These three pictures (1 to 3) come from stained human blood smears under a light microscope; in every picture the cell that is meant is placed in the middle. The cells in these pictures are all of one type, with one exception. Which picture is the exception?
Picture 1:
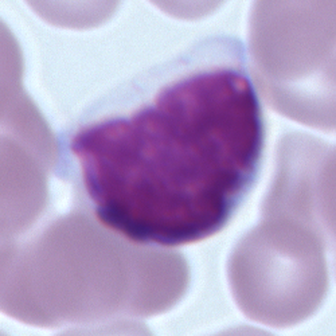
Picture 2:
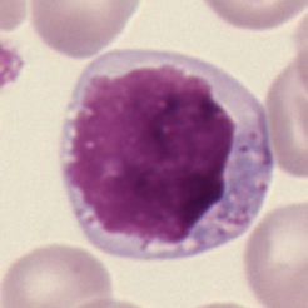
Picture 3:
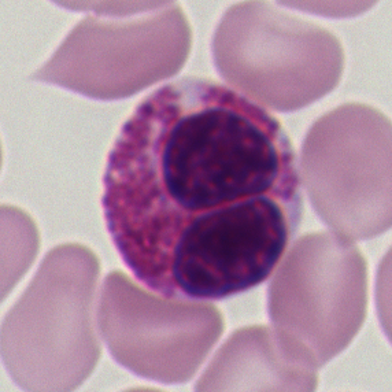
3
